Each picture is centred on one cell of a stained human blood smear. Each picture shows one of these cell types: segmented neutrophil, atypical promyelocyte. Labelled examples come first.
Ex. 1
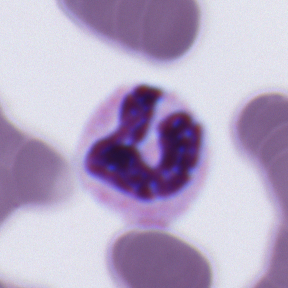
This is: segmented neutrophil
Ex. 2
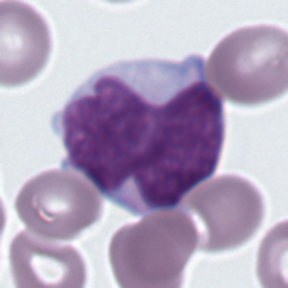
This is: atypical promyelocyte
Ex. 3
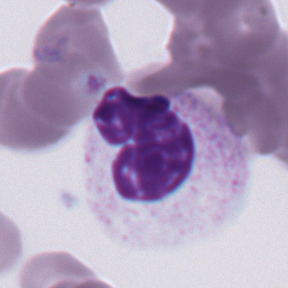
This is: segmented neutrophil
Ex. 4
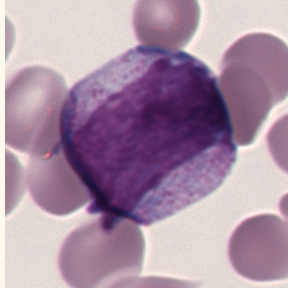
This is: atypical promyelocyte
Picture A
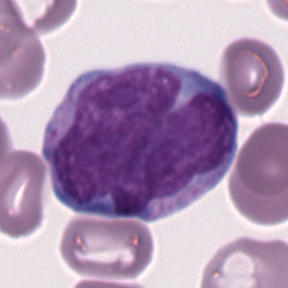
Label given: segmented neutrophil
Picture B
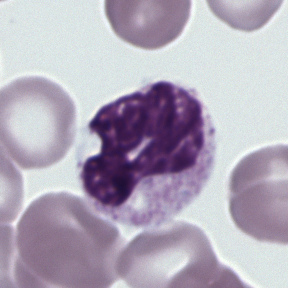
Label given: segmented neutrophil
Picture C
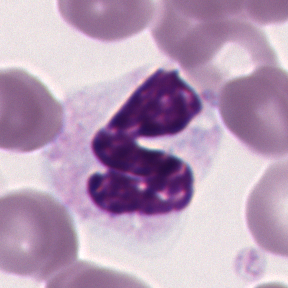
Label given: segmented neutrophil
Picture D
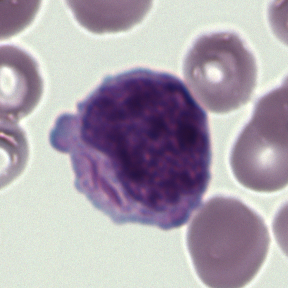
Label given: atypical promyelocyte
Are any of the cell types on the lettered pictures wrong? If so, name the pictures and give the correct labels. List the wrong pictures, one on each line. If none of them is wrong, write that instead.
A is labelled segmented neutrophil; correct label: atypical promyelocyte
